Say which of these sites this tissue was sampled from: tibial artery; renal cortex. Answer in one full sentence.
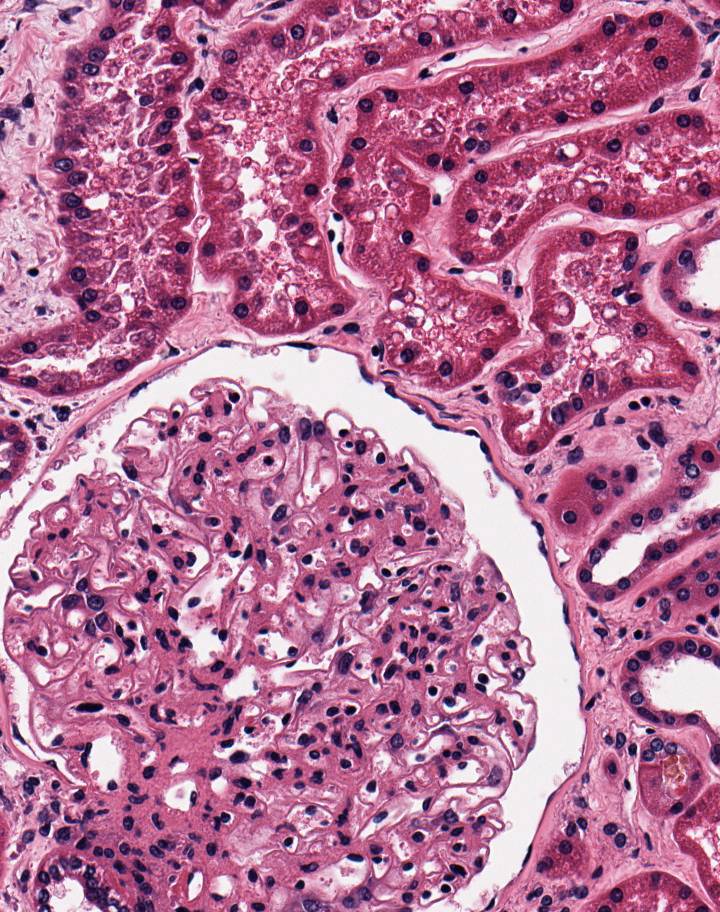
From the renal cortex this tissue was sampled.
